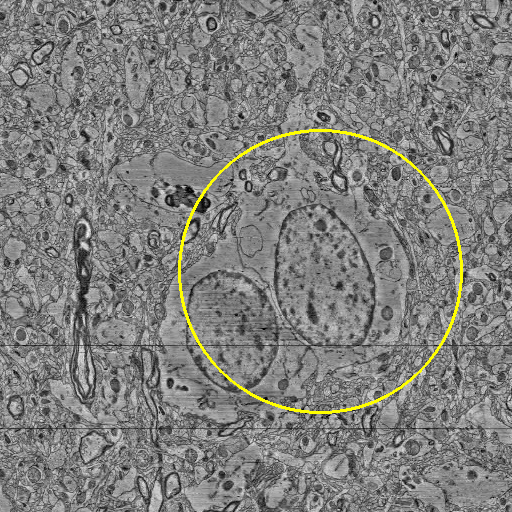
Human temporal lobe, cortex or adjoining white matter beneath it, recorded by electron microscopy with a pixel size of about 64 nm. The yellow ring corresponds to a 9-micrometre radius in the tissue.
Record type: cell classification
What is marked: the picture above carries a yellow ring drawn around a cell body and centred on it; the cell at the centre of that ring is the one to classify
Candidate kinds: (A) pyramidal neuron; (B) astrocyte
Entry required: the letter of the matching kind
B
